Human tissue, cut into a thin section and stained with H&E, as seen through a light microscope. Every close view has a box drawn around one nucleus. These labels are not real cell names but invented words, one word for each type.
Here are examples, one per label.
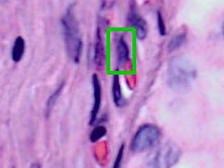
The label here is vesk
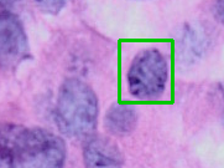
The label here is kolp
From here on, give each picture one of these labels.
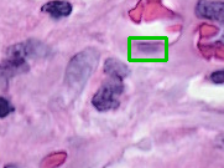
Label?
vesk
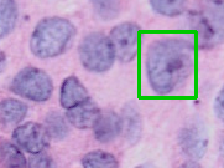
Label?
kolp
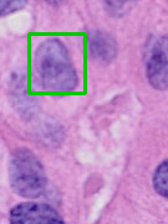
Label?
kolp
